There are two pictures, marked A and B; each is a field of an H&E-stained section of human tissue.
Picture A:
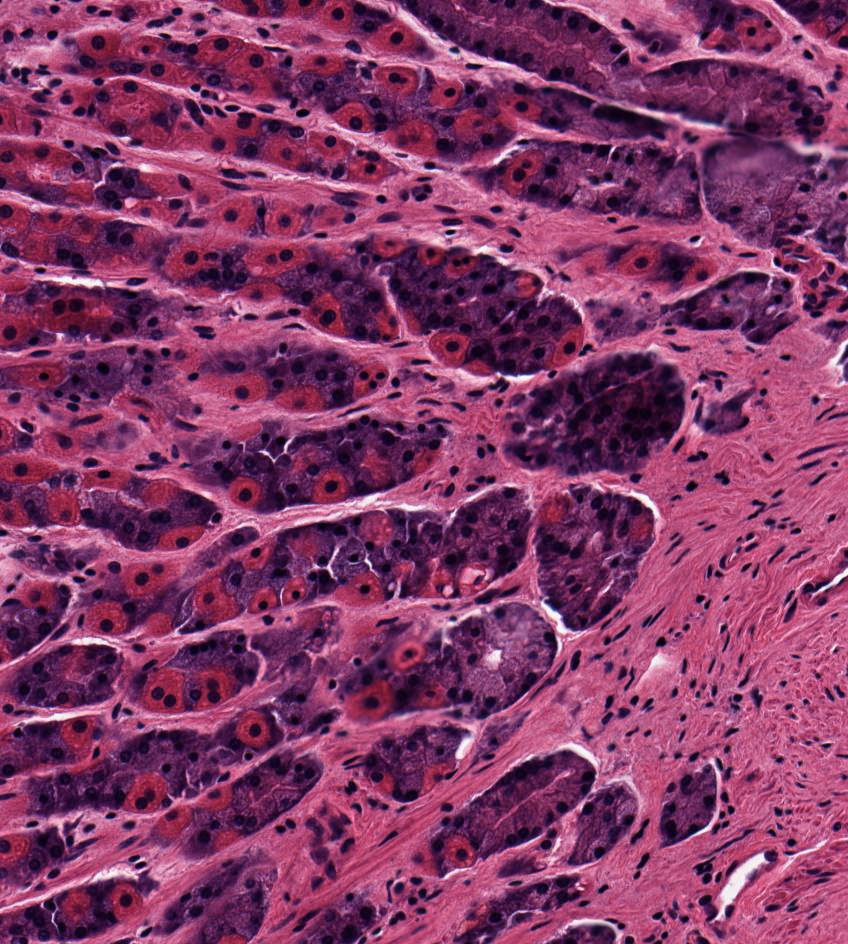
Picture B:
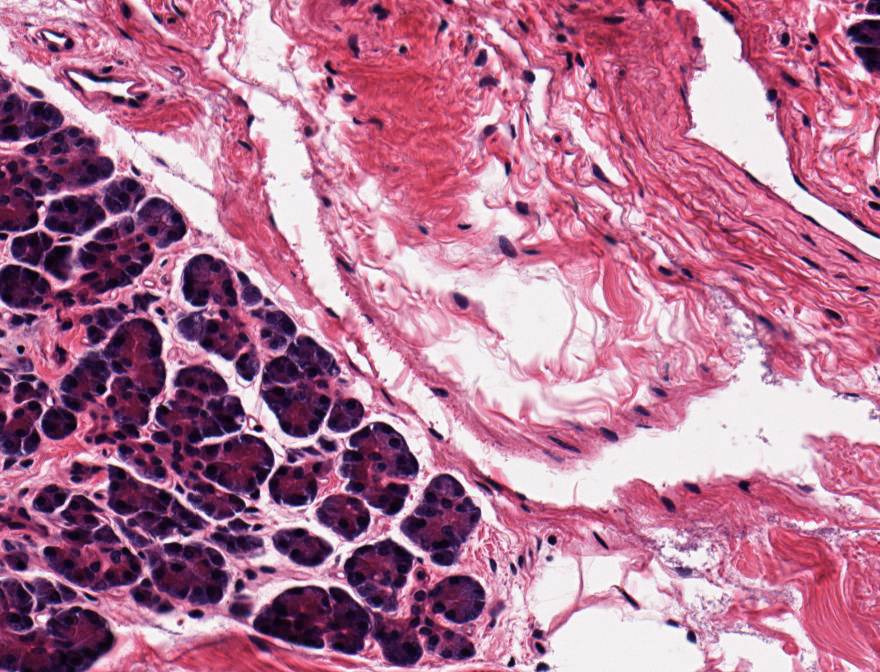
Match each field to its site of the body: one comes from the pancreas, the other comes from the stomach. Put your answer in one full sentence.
It is picture A that comes from the stomach, and picture B that comes from the pancreas.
